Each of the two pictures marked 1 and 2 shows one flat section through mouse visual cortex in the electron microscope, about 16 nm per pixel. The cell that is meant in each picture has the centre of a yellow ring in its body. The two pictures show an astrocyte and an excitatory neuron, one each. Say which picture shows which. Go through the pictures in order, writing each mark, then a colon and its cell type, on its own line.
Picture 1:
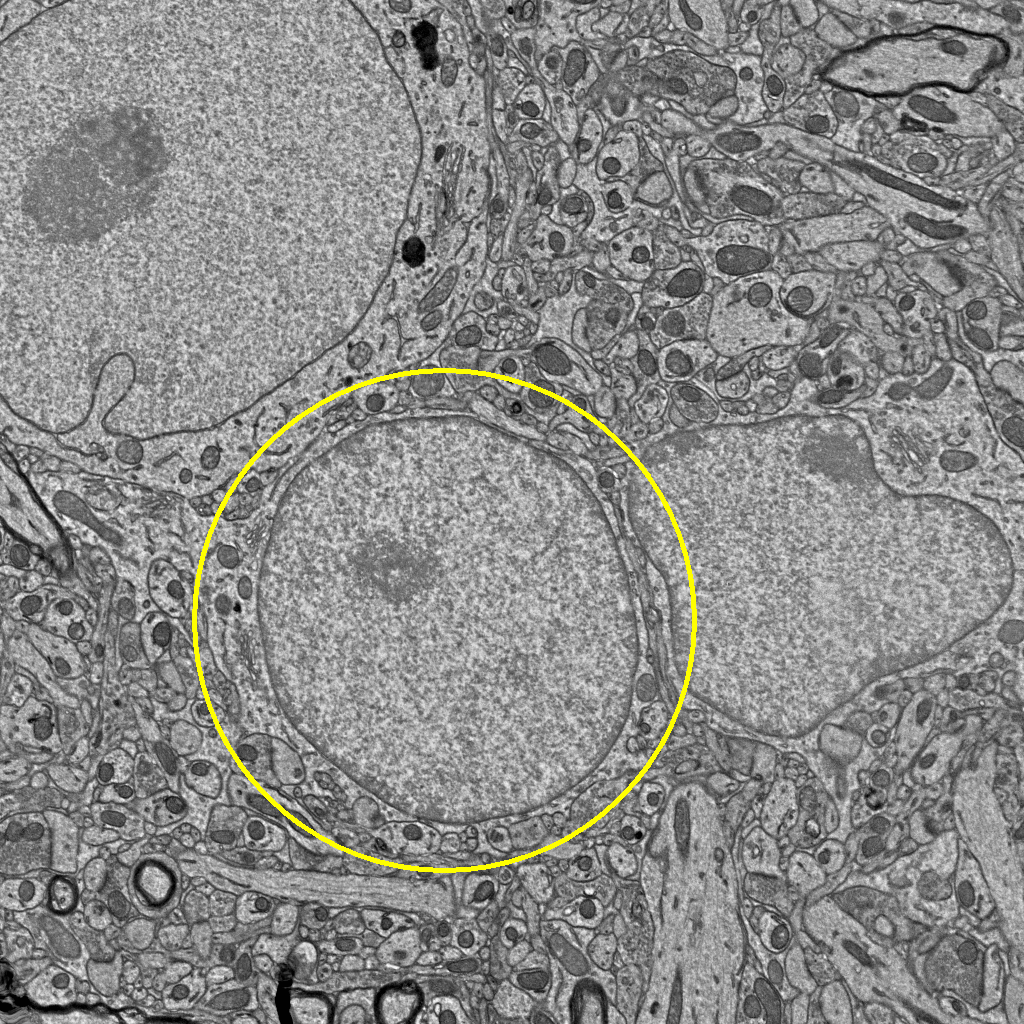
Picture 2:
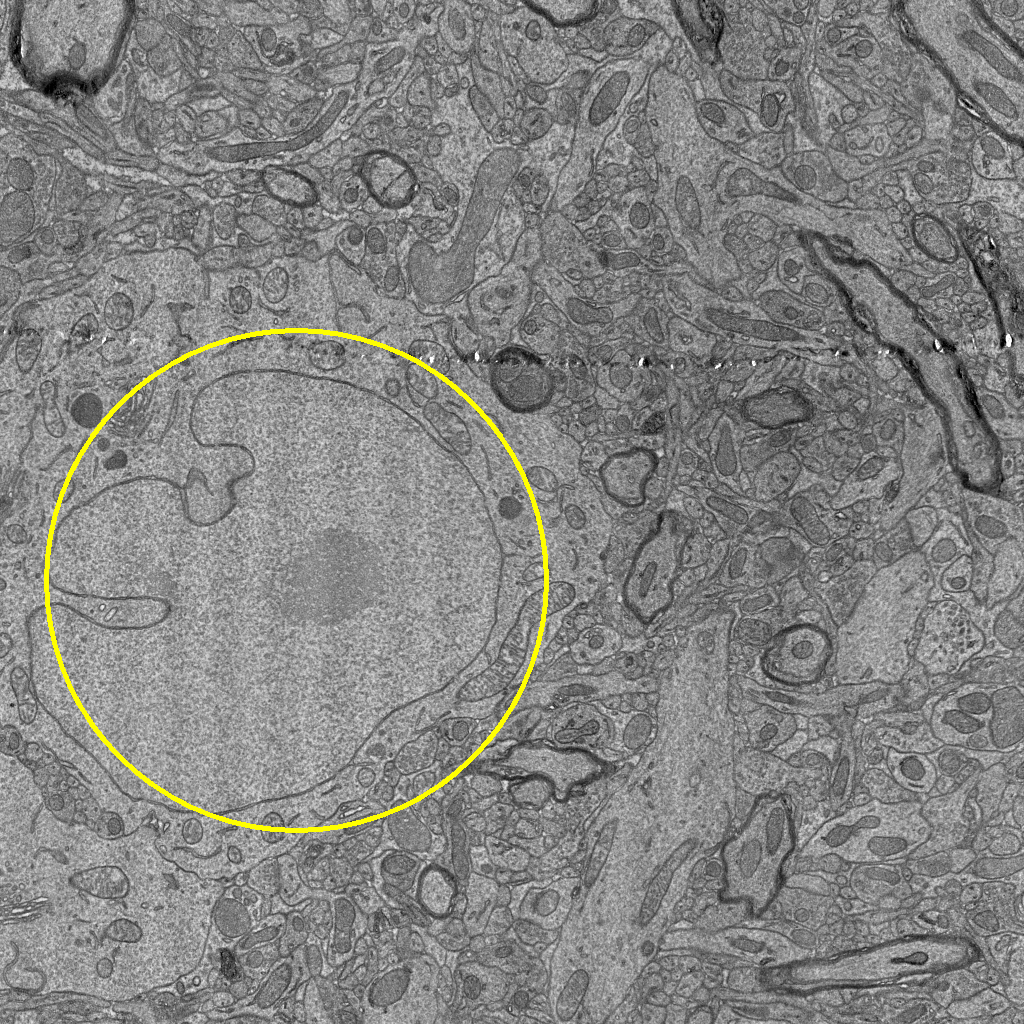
1: astrocyte
2: excitatory neuron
